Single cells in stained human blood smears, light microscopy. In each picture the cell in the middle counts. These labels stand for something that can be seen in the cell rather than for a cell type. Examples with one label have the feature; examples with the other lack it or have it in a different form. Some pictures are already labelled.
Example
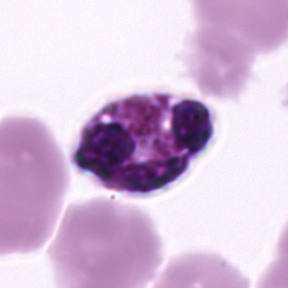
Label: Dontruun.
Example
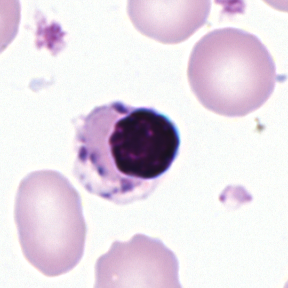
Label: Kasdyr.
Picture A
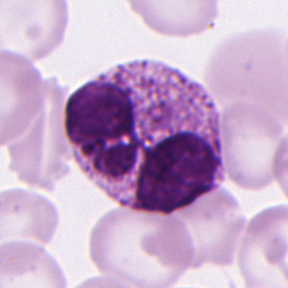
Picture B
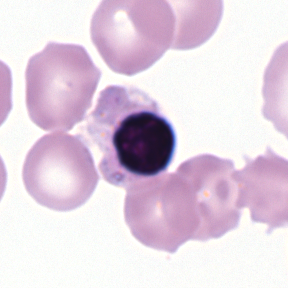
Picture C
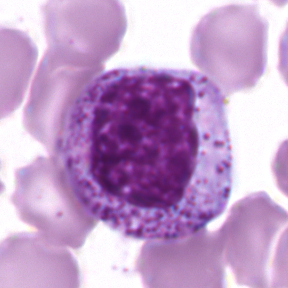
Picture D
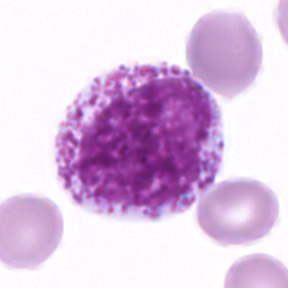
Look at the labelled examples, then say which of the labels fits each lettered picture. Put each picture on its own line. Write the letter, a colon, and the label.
A: Dontruun.
B: Dontruun.
C: Dontruun.
D: Kasdyr.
